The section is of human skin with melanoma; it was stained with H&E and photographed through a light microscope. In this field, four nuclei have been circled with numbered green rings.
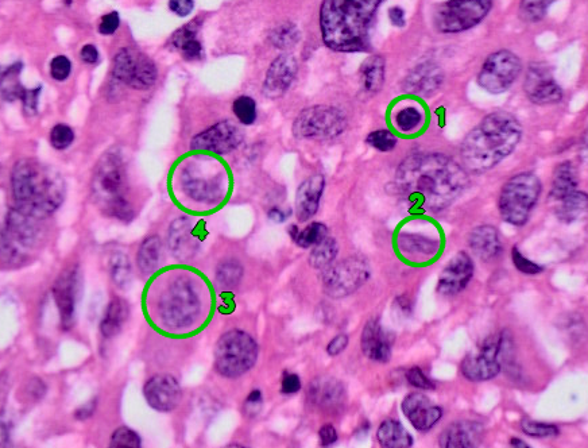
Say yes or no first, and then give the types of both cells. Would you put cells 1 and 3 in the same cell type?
No, cell number 1 is a lymphocyte and cell number 3 is a melanoma cell.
